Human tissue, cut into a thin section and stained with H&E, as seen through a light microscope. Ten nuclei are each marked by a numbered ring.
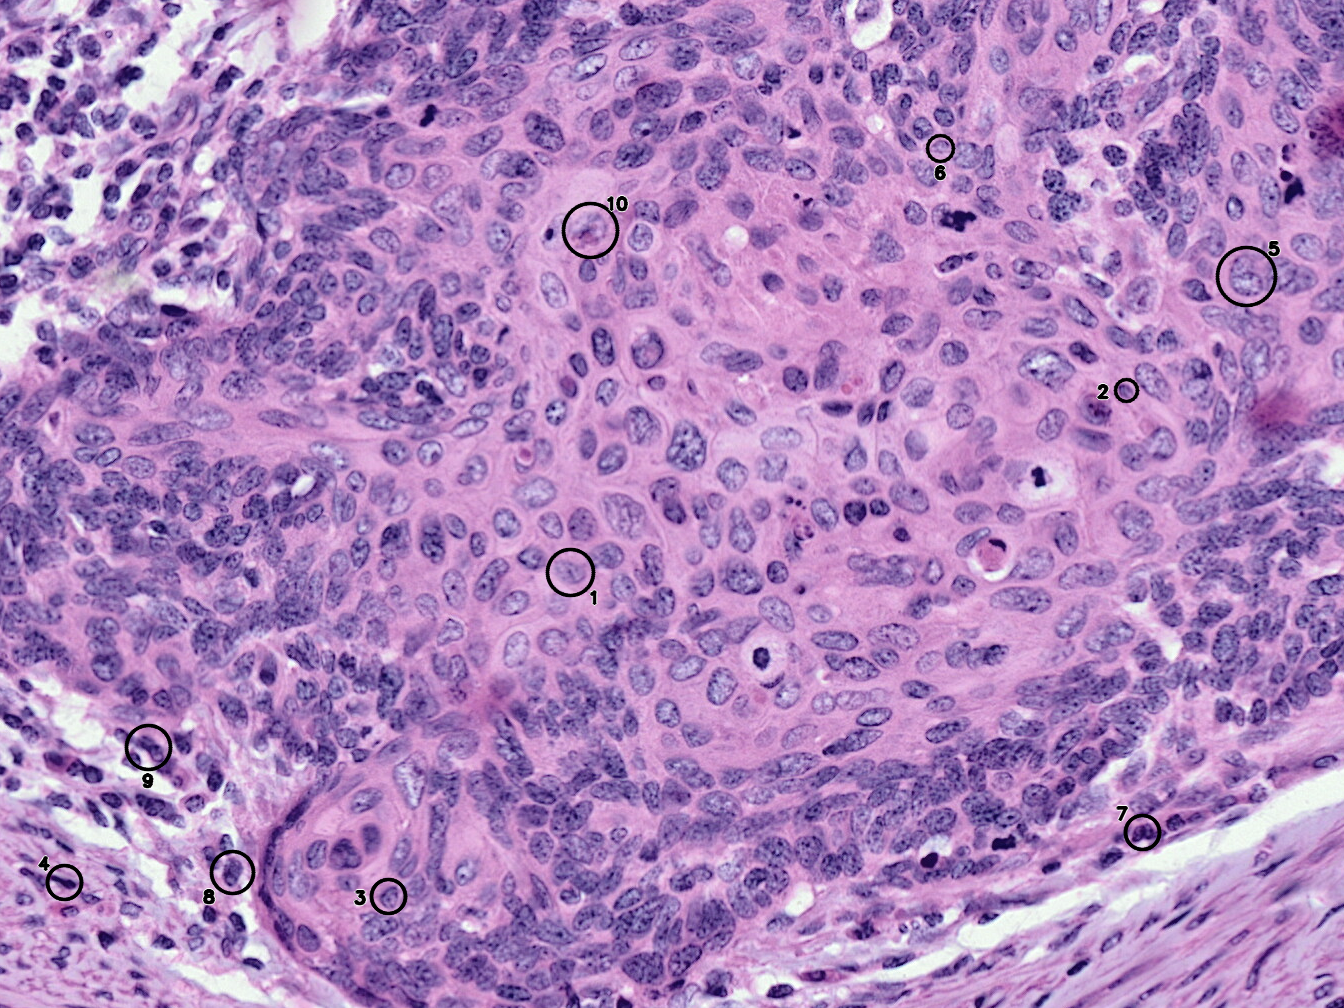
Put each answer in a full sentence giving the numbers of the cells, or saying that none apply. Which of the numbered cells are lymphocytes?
In terms of cell type, cells 4, 7, 8 and 9 are lymphocytes.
